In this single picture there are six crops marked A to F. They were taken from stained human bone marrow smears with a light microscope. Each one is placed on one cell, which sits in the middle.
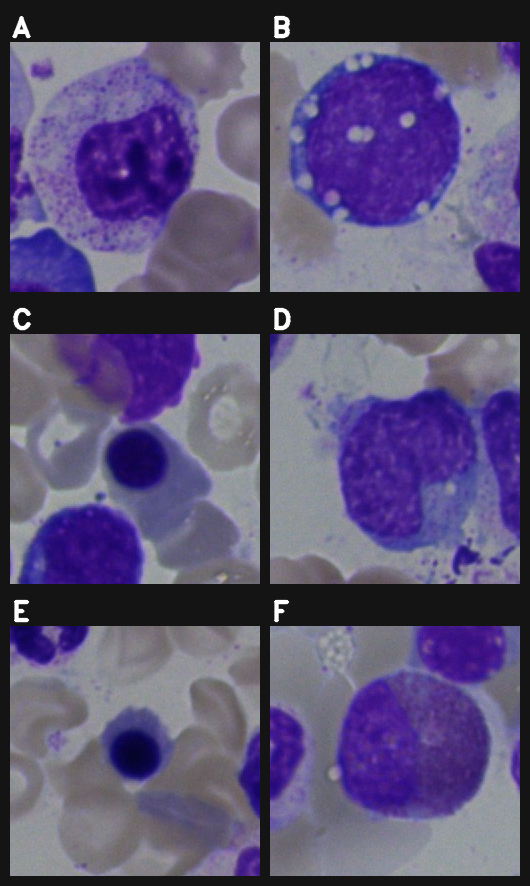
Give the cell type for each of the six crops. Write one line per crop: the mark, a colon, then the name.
A: myelocyte
B: blast
C: erythroblast
D: monocyte
E: erythroblast
F: eosinophil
